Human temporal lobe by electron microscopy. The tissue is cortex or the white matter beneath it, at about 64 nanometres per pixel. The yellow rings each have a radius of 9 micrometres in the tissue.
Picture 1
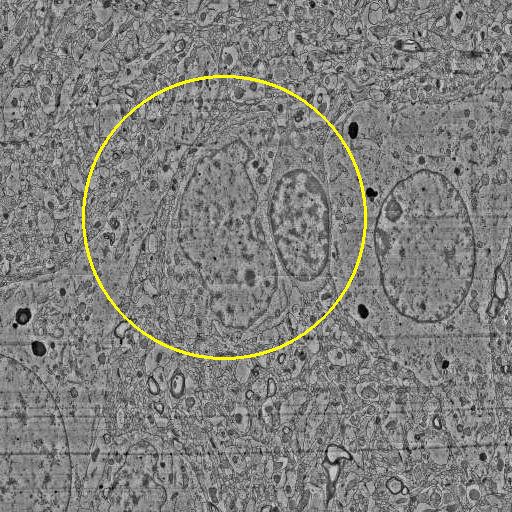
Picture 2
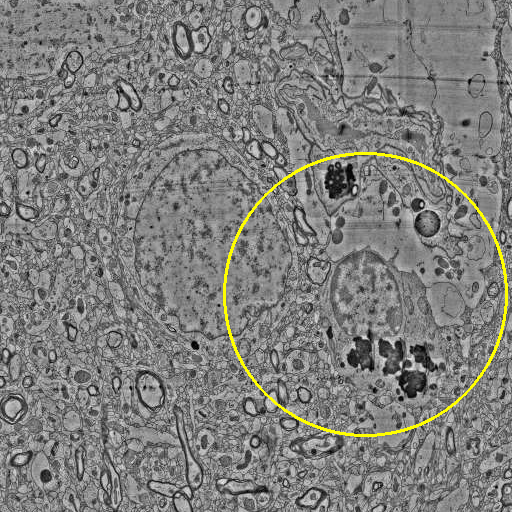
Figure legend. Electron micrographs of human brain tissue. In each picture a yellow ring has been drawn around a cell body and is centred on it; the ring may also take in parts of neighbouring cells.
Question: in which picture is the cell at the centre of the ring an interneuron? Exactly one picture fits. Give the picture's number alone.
1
